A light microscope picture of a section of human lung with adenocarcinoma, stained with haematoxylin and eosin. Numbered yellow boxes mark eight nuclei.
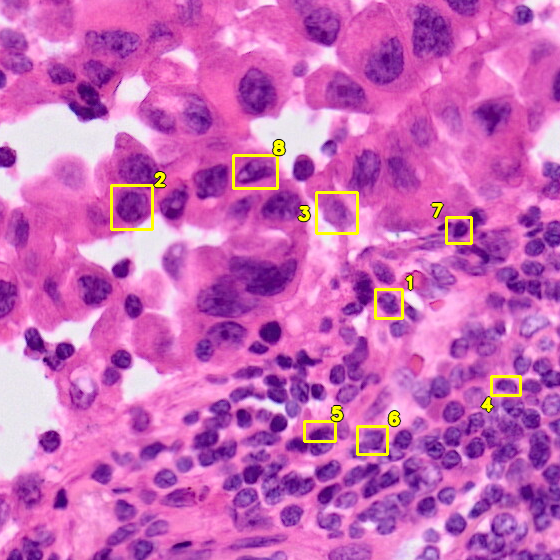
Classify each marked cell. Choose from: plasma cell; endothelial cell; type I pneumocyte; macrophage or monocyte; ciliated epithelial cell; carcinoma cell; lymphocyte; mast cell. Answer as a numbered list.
1. lymphocyte
2. carcinoma cell
3. carcinoma cell
4. lymphocyte
5. lymphocyte
6. lymphocyte
7. lymphocyte
8. carcinoma cell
